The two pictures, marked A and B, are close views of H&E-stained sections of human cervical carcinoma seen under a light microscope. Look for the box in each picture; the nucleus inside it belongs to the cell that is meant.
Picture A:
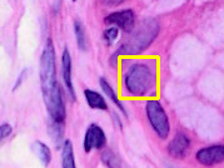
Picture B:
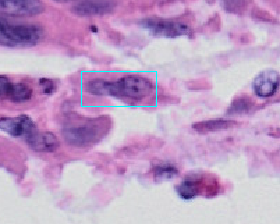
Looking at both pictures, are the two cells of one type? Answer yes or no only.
no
